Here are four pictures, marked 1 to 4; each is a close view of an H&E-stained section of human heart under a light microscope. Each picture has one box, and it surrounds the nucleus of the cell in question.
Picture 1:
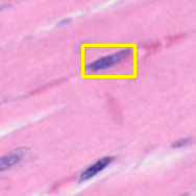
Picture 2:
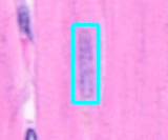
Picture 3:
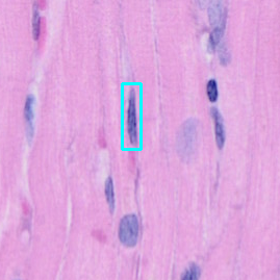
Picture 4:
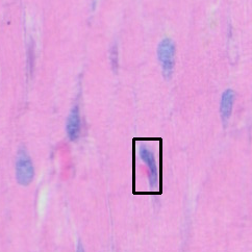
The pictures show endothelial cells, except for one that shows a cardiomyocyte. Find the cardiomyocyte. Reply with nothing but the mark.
2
